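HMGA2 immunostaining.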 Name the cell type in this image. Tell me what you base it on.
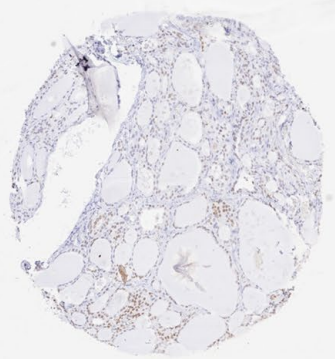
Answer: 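Round follicles of varying size filled with pale colloid. Follicles lined by a single layer of flat to cuboidal cells.
Thyroideal epithelial cells.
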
